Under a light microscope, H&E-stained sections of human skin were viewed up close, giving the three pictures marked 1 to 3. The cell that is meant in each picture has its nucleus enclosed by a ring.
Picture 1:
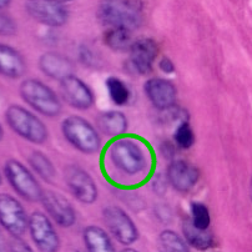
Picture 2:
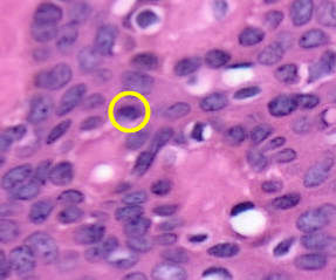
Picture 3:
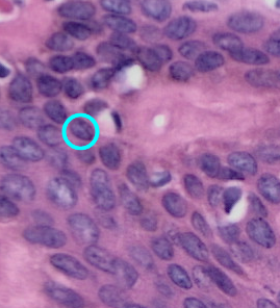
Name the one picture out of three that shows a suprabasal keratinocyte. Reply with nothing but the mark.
1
